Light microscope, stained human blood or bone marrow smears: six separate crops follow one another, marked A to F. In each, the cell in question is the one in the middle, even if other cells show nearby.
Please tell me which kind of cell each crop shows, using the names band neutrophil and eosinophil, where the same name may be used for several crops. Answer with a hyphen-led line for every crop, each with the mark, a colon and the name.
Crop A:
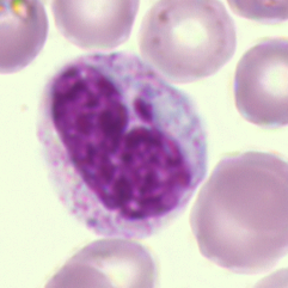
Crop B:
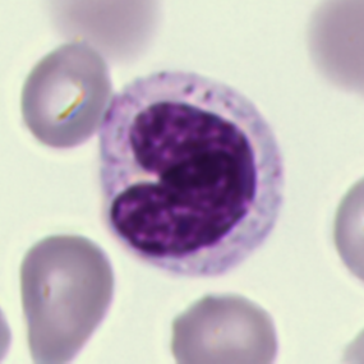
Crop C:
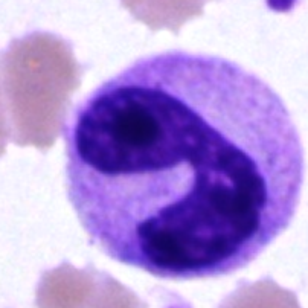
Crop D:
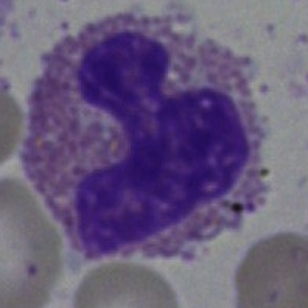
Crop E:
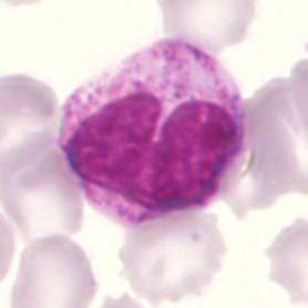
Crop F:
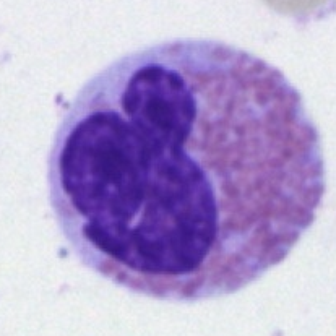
- A: band neutrophil
- B: band neutrophil
- C: band neutrophil
- D: eosinophil
- E: band neutrophil
- F: eosinophil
